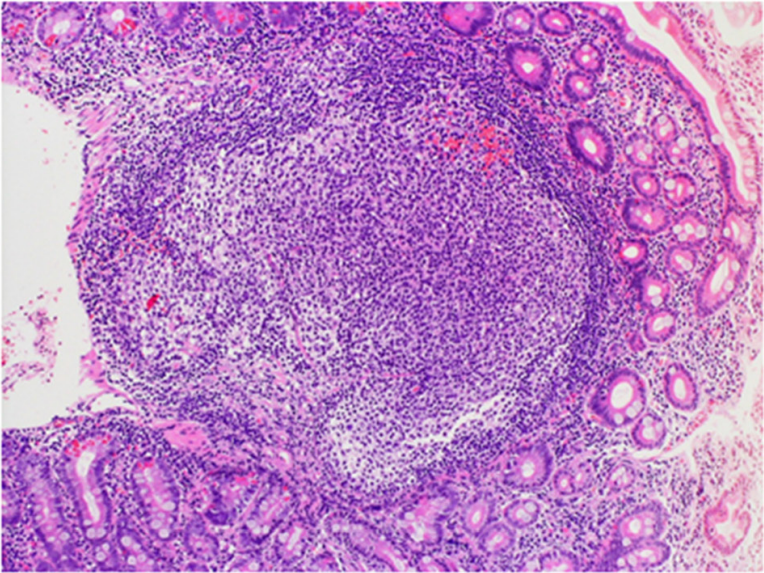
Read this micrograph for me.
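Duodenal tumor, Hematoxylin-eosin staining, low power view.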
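Intestinal mucosa is expanded by a large, rounded, sharply outlined follicle of densely packed lymphoid cells stained purple. The follicle has a paler central zone and a darker rim of small cells. It is surrounded by intestinal glands lined by columnar epithelium with goblet cells, and a surface epithelium runs along the right edge.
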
